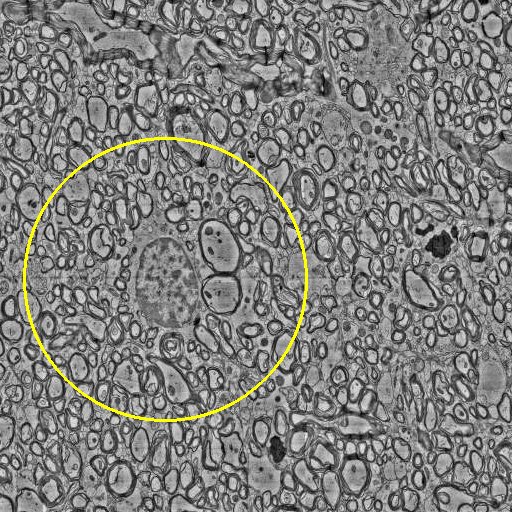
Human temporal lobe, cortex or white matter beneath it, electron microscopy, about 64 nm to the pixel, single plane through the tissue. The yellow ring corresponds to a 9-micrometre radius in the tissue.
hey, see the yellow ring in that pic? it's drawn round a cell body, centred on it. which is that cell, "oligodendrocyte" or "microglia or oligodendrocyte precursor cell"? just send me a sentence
The cell in the ring is an oligodendrocyte.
